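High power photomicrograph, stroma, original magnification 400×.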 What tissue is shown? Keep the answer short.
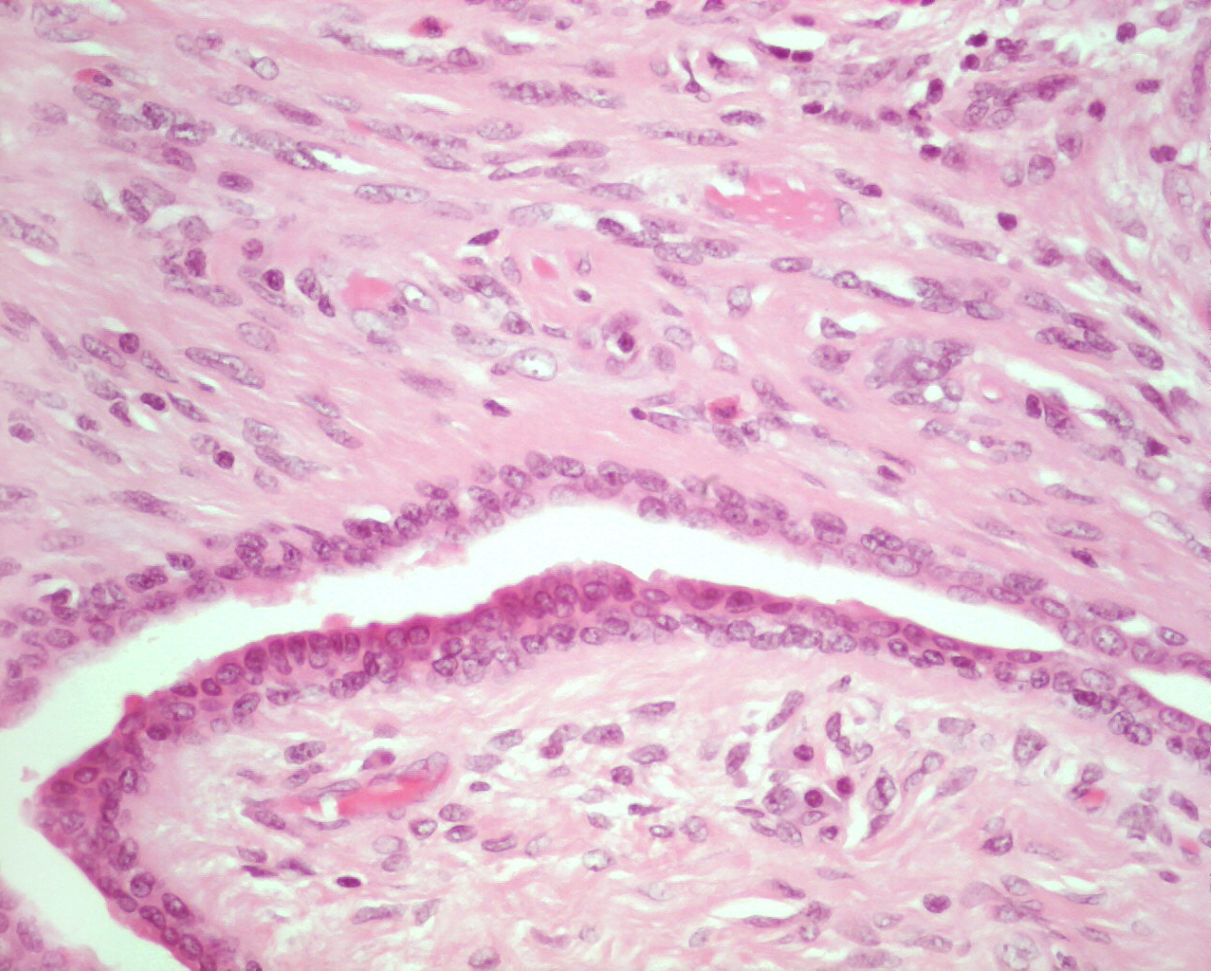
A: Benign phyllodes tumor.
